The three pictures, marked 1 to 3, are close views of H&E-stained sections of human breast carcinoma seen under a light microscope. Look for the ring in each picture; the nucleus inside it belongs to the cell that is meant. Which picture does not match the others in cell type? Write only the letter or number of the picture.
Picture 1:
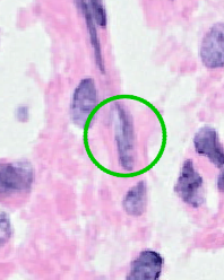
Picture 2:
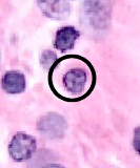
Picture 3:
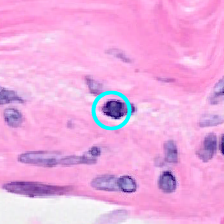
1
